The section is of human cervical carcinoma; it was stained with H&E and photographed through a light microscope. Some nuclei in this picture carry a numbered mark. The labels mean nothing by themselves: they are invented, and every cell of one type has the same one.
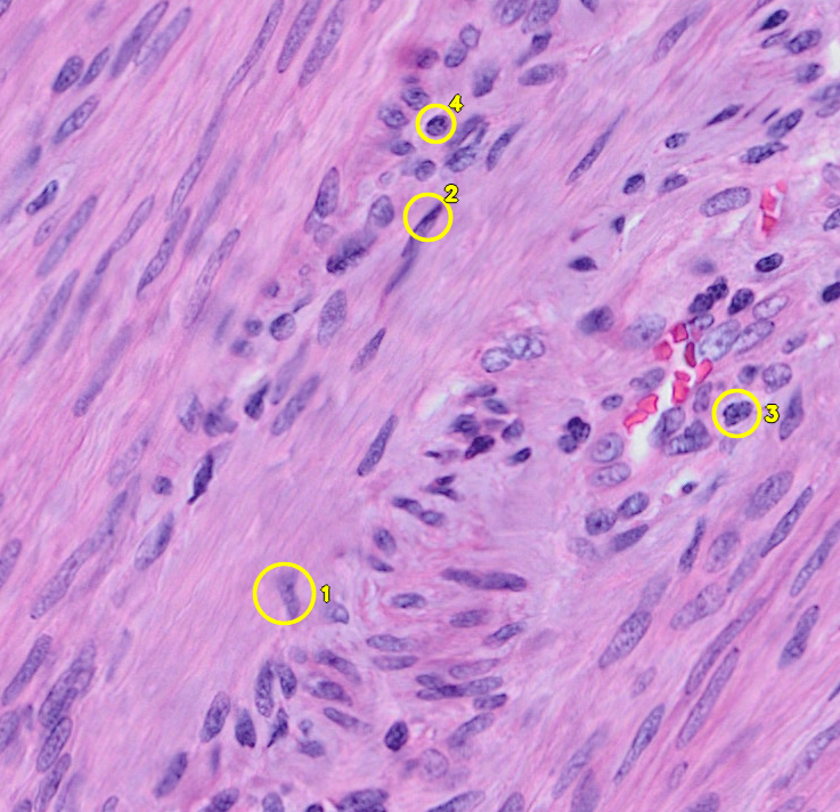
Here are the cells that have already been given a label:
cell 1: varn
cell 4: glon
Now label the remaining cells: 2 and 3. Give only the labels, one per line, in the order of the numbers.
varn
glon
